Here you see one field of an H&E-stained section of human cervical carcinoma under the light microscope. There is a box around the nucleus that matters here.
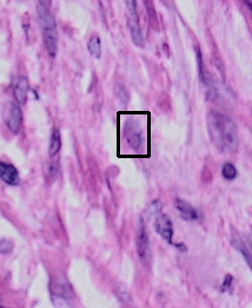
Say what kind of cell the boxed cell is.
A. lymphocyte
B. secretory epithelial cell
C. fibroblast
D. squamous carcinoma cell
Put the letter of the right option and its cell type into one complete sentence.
Option C is correct in that the boxed cell is a fibroblast.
